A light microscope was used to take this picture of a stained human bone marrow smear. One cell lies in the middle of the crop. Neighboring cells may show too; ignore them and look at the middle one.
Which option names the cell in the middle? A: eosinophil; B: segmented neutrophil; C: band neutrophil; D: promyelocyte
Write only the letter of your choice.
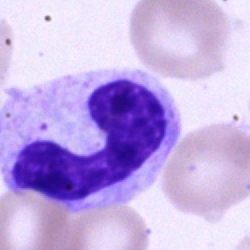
C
